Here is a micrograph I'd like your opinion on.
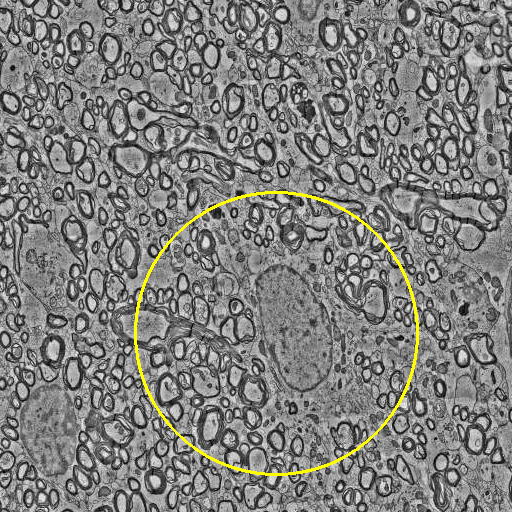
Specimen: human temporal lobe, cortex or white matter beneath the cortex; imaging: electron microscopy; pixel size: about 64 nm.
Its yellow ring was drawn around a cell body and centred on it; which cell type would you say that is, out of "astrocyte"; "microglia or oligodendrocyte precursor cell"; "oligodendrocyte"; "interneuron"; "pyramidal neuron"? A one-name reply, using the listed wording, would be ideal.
astrocyte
